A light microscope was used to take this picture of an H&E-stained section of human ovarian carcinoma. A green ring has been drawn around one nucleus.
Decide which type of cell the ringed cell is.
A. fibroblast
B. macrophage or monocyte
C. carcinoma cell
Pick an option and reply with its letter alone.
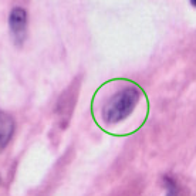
A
